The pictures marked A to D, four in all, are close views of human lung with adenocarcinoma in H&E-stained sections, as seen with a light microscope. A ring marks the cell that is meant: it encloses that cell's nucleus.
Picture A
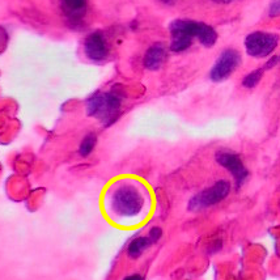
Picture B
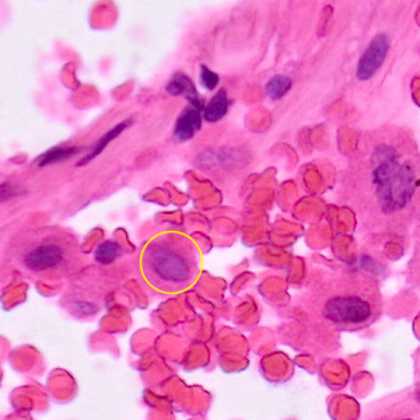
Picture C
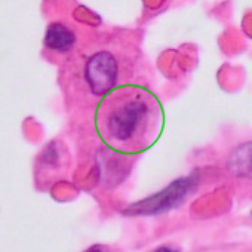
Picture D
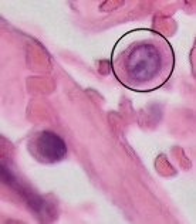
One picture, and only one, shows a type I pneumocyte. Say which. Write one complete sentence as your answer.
The cell in picture A is the type I pneumocyte.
